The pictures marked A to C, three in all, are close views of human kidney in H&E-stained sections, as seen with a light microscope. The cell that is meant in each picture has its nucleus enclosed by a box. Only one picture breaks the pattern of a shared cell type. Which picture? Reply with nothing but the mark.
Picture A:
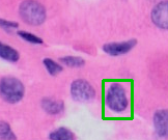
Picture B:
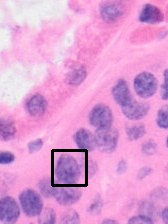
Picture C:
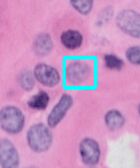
A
